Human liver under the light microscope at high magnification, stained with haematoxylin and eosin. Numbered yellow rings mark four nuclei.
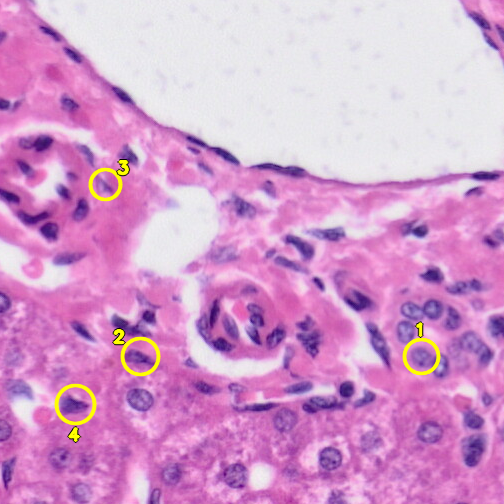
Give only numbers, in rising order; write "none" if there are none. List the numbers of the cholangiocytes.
1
